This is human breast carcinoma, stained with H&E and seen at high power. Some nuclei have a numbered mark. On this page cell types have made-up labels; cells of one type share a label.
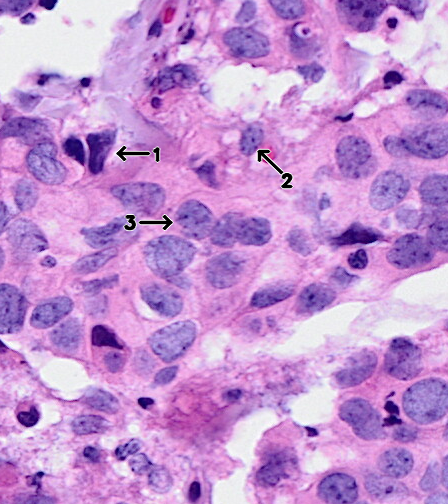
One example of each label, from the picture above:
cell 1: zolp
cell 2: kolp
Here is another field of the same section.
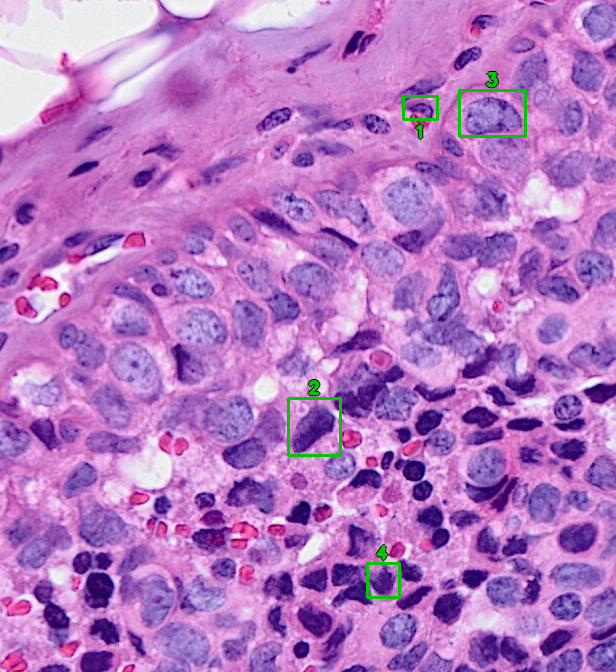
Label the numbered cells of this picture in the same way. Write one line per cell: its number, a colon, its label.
1: kolp
2: zolp
3: zolp
4: zolp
